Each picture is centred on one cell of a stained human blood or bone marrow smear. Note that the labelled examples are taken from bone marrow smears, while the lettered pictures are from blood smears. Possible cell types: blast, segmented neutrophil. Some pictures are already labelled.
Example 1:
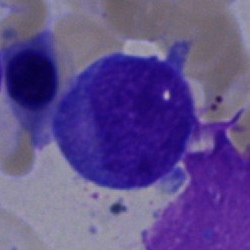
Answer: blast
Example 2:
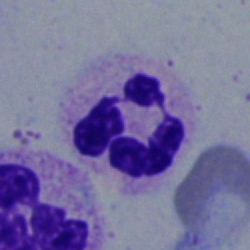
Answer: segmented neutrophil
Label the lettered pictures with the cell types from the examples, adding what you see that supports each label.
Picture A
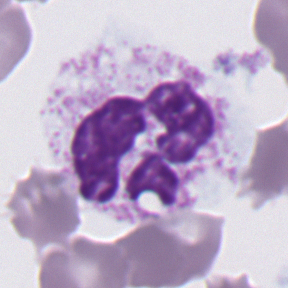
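Label: segmented neutrophil. The nucleus is divided into three lobes.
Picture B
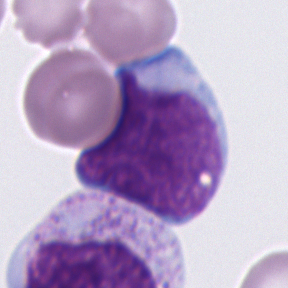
Label: blast. The nucleus fills most of the cell and has an irregular, angular outline.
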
